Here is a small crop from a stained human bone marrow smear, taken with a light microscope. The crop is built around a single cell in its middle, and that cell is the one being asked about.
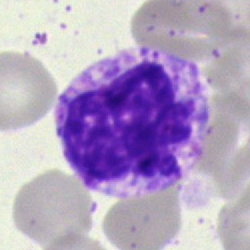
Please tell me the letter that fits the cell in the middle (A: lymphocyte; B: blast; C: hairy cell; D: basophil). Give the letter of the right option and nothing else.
D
